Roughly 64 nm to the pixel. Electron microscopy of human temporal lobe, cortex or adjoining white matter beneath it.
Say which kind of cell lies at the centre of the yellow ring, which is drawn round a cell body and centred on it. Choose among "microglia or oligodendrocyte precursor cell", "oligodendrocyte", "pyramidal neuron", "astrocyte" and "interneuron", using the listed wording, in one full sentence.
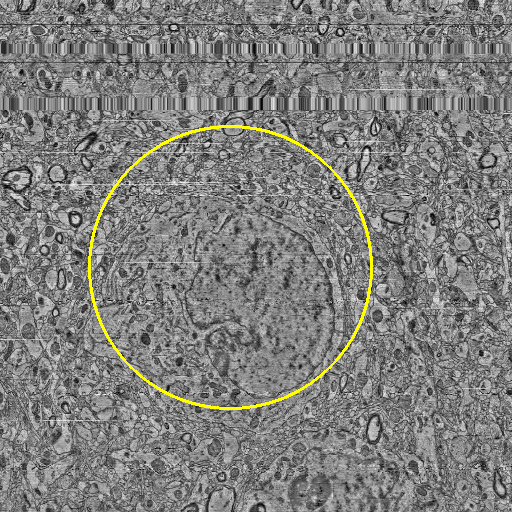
Going by the list, the cell at the yellow ring's centre is an interneuron.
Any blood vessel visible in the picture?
No, no blood vessel shows in the picture.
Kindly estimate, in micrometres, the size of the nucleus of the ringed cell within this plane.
In this plane, about 12 micrometres in length and 9 in width.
